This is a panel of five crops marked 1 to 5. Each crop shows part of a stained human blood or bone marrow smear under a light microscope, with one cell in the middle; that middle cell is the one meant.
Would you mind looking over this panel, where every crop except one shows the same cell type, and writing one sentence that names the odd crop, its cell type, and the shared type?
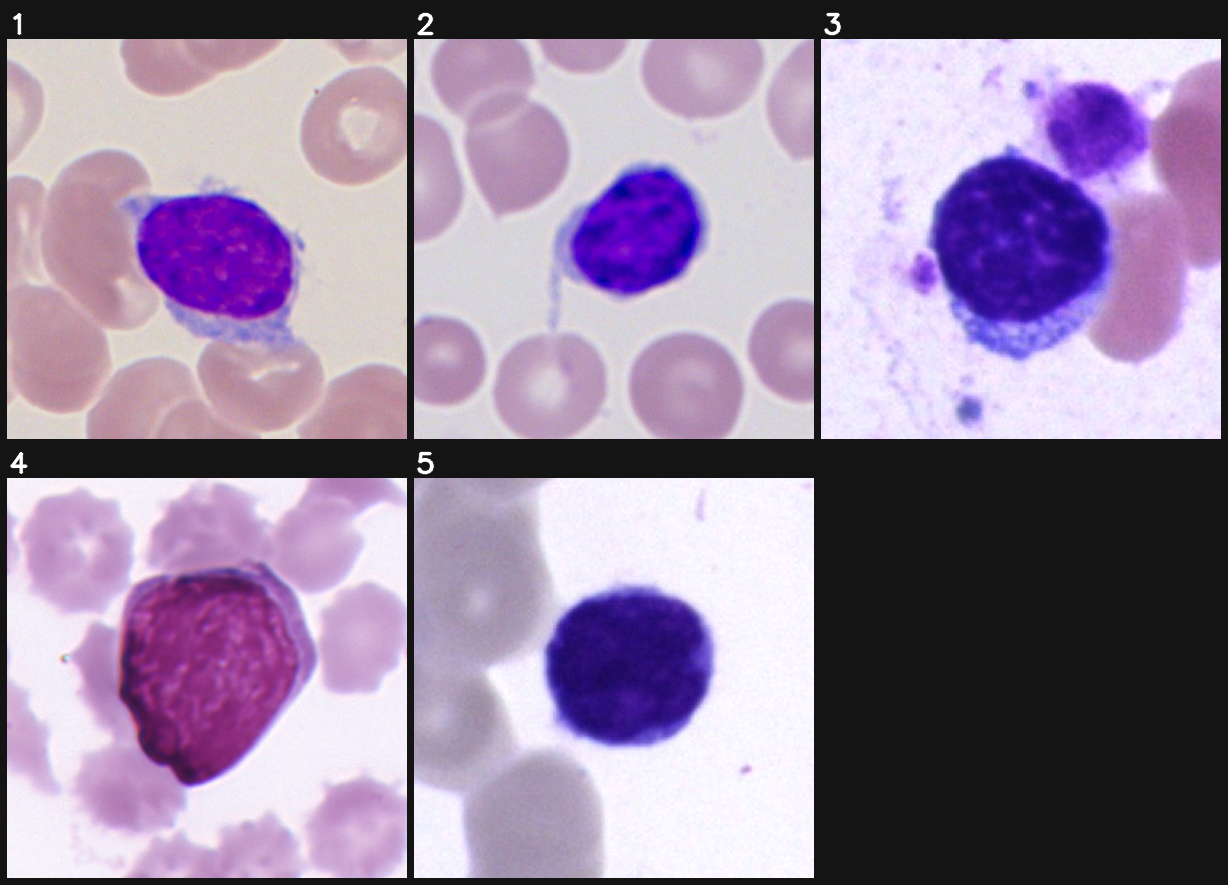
The outlier here is crop 4, which is a blast, while the remainder show lymphocytes.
